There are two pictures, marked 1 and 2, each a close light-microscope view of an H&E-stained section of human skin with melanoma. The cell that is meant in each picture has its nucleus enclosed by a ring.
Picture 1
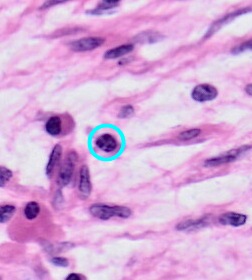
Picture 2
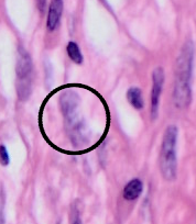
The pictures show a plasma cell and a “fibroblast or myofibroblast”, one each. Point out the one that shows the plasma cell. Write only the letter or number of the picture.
1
